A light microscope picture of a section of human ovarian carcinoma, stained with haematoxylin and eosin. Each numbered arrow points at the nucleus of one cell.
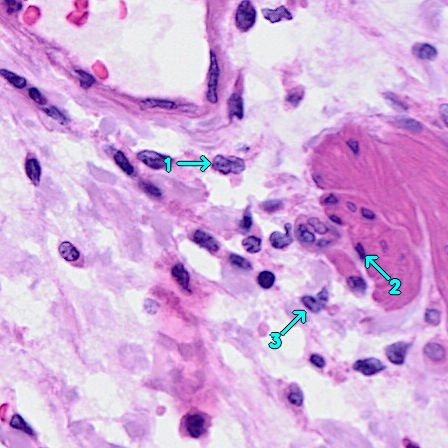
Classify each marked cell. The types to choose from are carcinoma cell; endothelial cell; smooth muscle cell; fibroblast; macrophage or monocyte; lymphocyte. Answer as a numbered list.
1. macrophage or monocyte
2. smooth muscle cell
3. macrophage or monocyte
